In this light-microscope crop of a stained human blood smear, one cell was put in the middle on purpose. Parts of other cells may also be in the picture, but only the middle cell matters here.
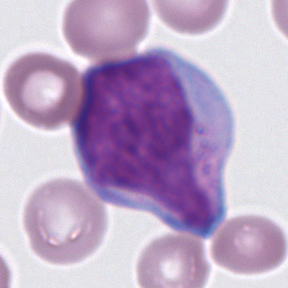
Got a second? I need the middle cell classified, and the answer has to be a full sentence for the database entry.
The cell at the middle of the crop is recognized as an atypical promyelocyte.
